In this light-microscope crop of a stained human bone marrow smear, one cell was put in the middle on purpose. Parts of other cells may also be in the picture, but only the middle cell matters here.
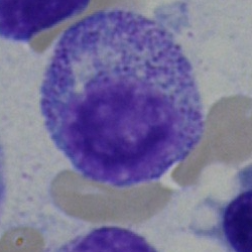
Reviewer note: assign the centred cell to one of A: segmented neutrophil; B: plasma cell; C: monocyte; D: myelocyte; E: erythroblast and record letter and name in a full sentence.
Option D correctly states that the central cell is a myelocyte.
